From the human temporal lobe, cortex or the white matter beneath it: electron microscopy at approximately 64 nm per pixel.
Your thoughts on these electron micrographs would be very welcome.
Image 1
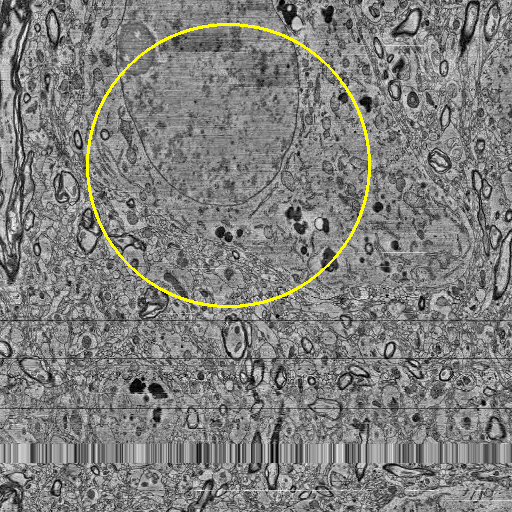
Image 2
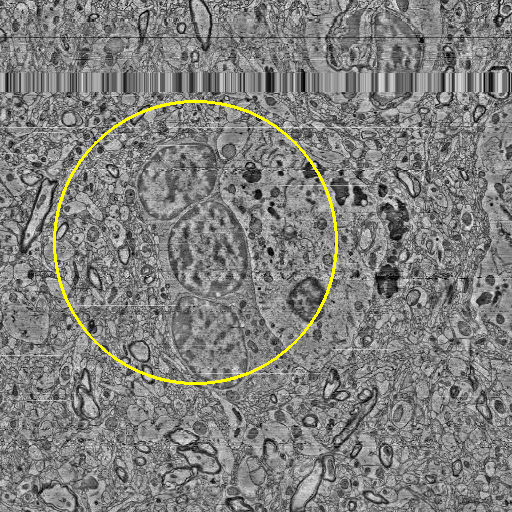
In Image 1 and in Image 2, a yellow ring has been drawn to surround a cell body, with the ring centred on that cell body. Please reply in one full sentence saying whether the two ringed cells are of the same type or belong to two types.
The ringed cells in Image 1 and Image 2 belong to two types.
